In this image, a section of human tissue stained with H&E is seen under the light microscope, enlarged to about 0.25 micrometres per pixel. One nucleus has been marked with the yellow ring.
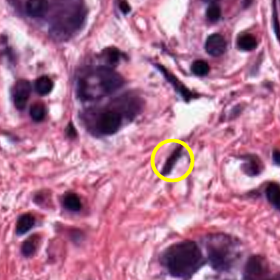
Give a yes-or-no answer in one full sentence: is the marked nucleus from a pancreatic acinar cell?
No, for the marked nucleus, the owning cell is a supporting cell, not a pancreatic acinar cell.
